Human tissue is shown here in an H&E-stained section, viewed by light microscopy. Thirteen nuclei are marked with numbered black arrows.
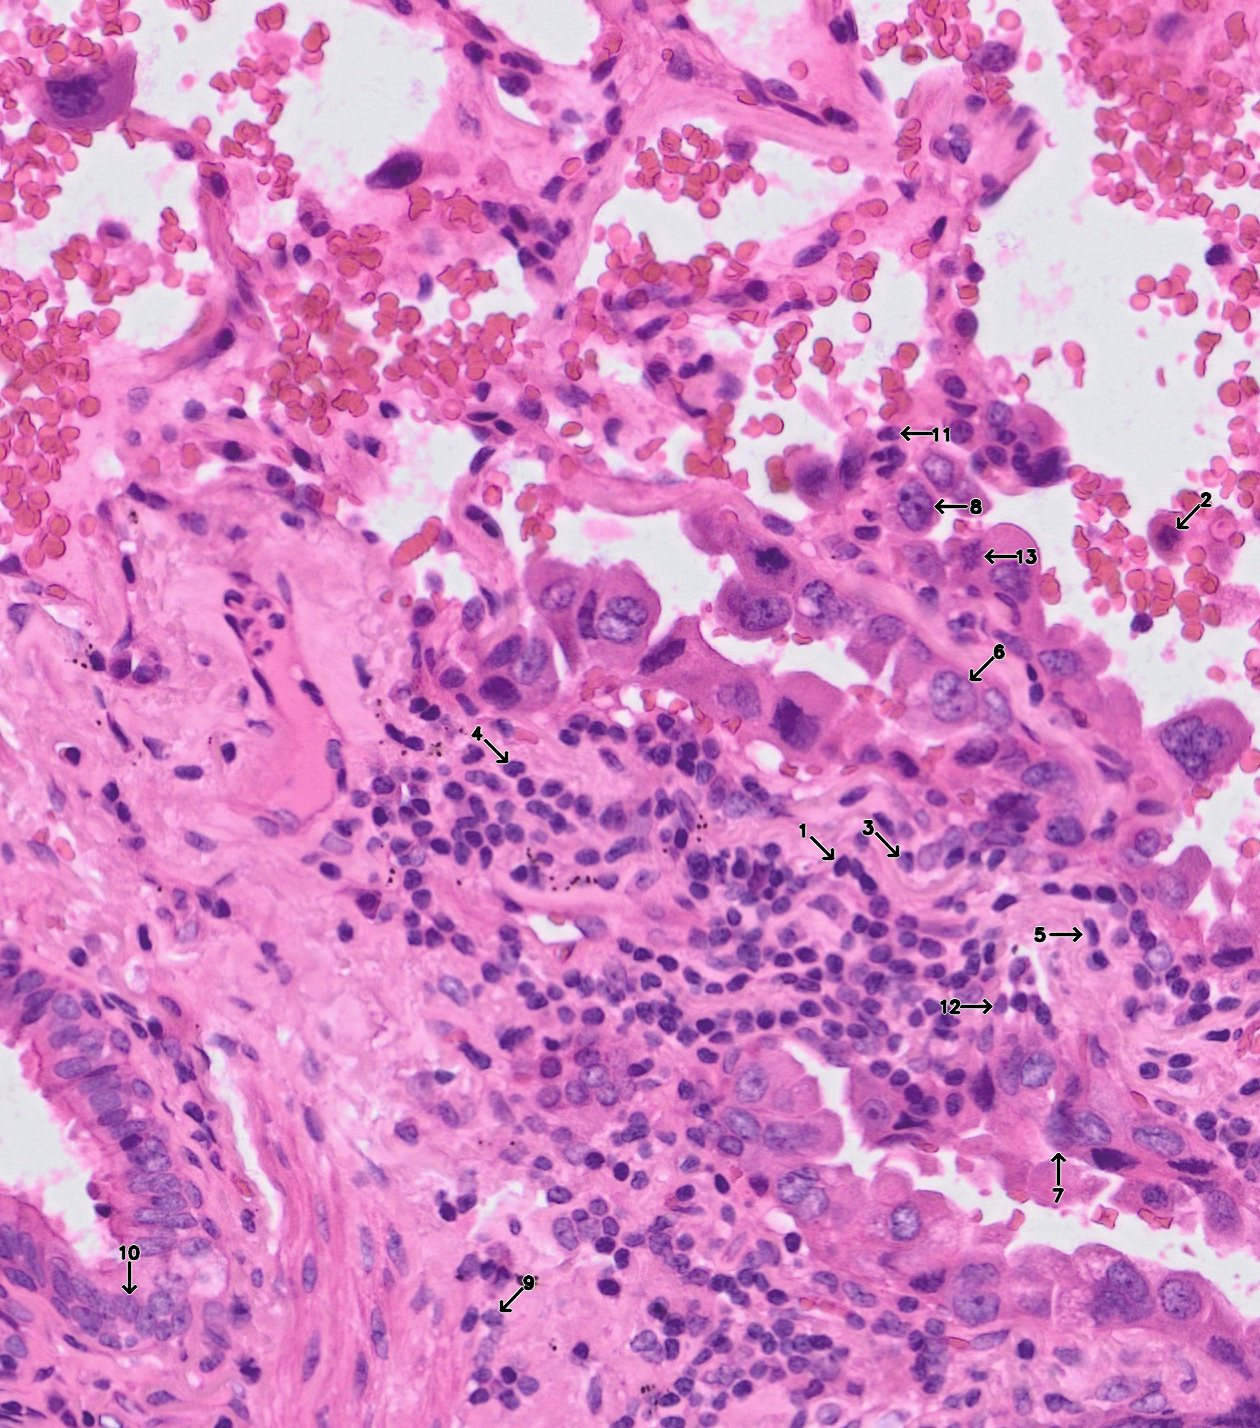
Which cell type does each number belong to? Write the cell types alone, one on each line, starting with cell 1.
lymphocyte
macrophage or monocyte
lymphocyte
lymphocyte
lymphocyte
carcinoma cell
carcinoma cell
carcinoma cell
lymphocyte
ciliated epithelial cell
lymphocyte
lymphocyte
carcinoma cell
